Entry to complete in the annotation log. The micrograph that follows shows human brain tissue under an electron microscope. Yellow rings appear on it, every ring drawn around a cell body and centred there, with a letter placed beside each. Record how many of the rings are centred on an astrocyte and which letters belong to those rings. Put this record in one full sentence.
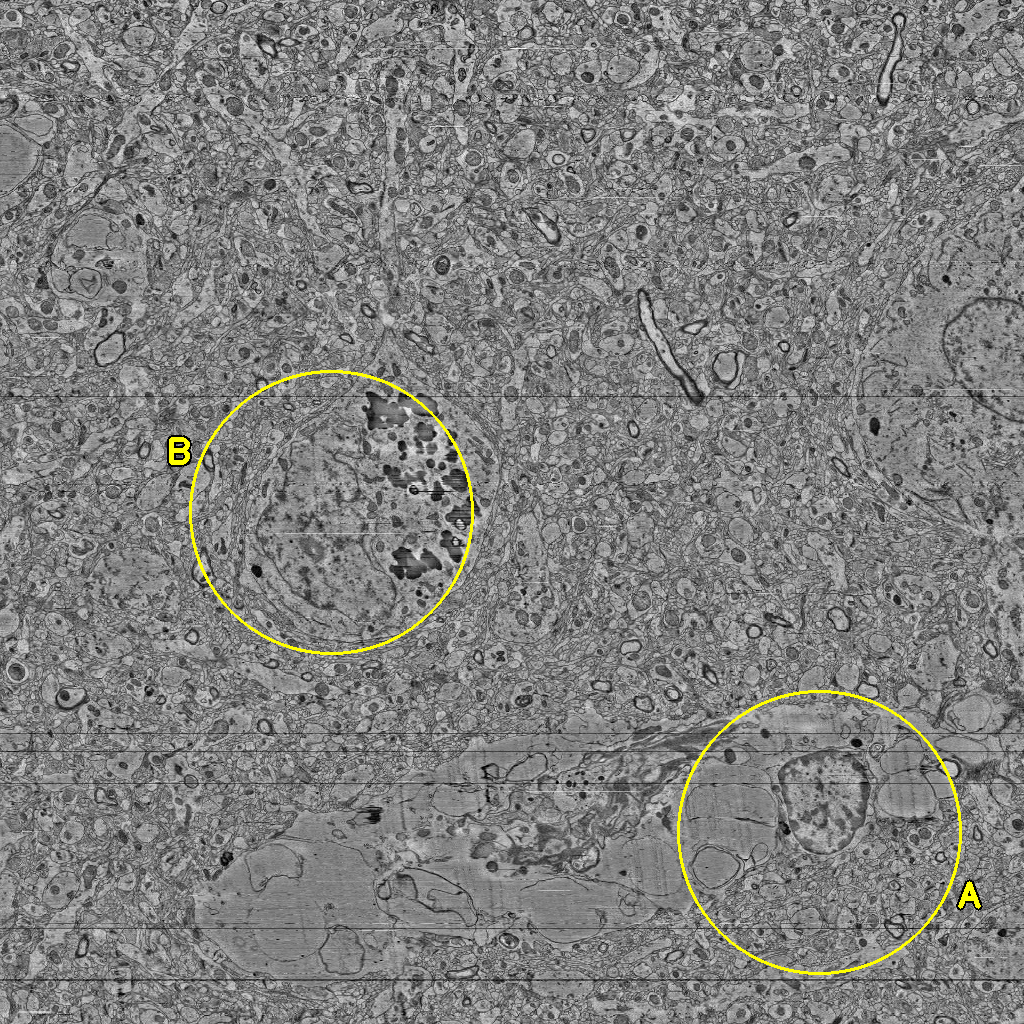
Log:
Since not one ring has an astrocyte at its centre, the tally is zero.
